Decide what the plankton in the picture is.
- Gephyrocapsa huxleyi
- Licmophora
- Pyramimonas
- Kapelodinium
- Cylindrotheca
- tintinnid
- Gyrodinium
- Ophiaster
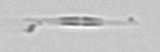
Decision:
Cylindrotheca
